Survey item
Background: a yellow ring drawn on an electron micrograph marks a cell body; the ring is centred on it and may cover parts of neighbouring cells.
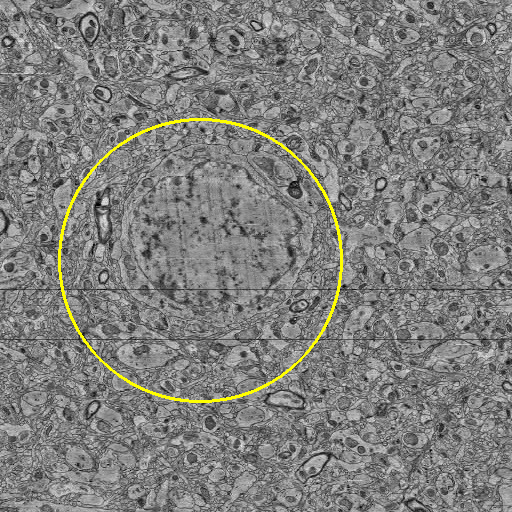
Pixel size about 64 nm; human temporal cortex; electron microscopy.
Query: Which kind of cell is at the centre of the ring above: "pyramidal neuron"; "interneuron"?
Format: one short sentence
The cell in the middle of the ring is an interneuron.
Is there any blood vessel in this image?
No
